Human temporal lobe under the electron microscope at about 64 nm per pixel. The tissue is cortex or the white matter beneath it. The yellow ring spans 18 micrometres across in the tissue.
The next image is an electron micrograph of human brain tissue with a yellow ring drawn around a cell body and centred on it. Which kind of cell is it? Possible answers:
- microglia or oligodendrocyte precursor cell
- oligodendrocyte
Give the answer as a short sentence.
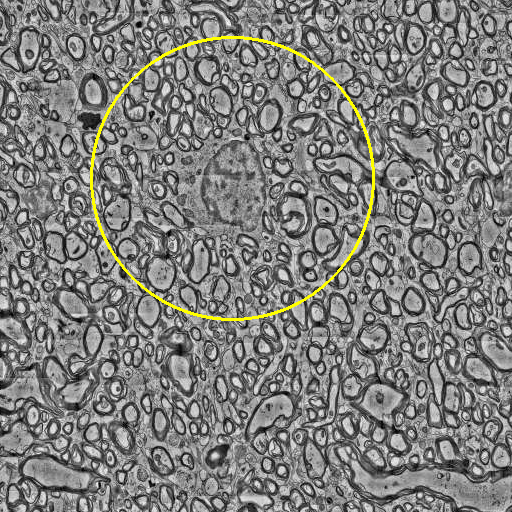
In the ring's centre is an oligodendrocyte.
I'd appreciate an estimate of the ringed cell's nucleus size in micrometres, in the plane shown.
About 6 micrometres by about 4 micrometres in this plane.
